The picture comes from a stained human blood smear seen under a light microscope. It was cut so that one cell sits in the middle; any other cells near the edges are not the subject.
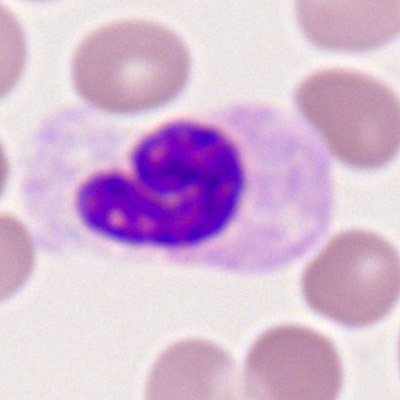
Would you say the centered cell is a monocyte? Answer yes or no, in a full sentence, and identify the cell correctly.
No, the central cell is properly termed a band neutrophil, not a monocyte.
